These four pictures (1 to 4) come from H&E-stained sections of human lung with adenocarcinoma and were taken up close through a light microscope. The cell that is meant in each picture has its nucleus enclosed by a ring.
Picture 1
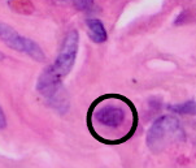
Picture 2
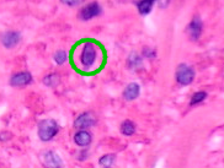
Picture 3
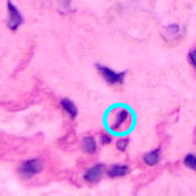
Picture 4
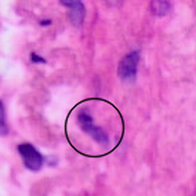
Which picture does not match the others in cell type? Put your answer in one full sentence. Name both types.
All pictures except 1 show “smooth muscle cells or pericytes”; picture 1 shows a plasma cell.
